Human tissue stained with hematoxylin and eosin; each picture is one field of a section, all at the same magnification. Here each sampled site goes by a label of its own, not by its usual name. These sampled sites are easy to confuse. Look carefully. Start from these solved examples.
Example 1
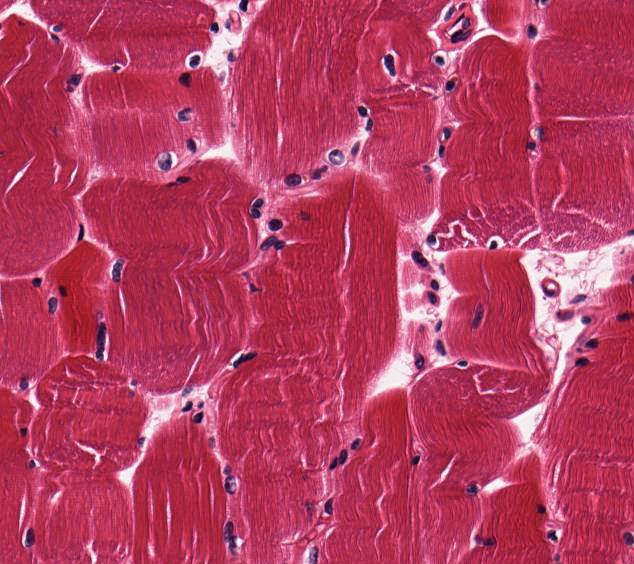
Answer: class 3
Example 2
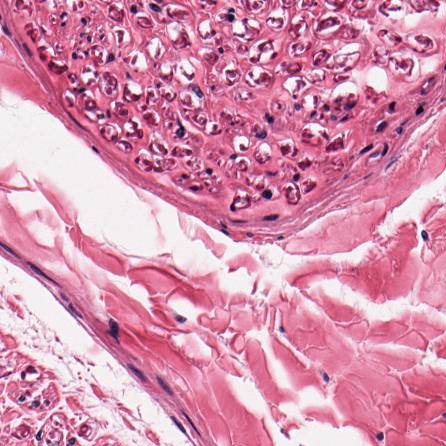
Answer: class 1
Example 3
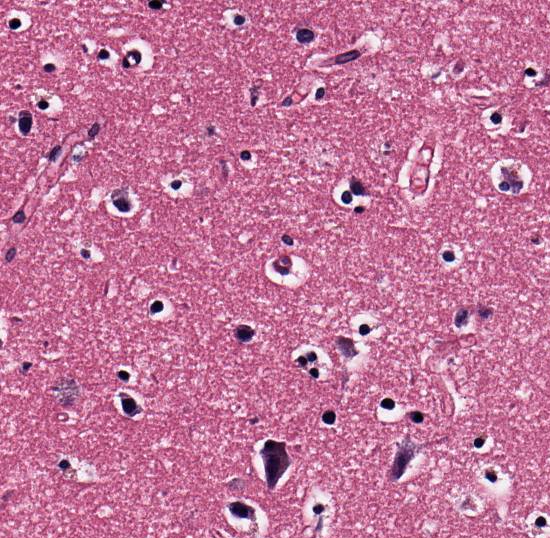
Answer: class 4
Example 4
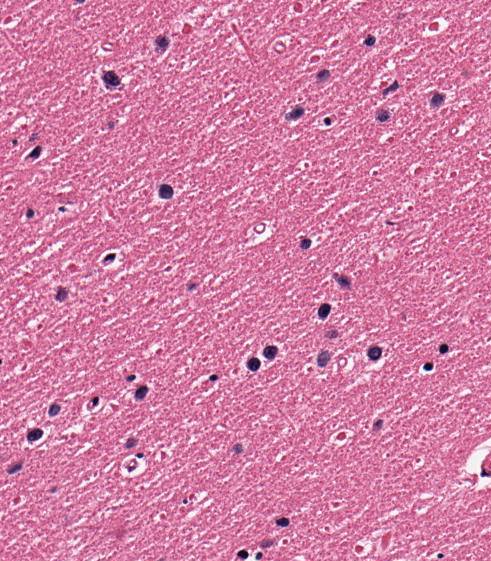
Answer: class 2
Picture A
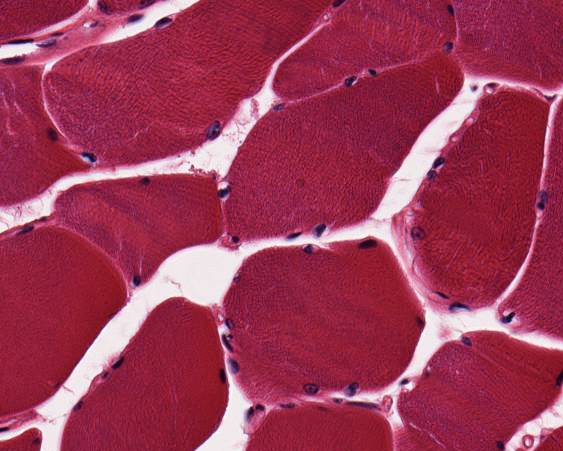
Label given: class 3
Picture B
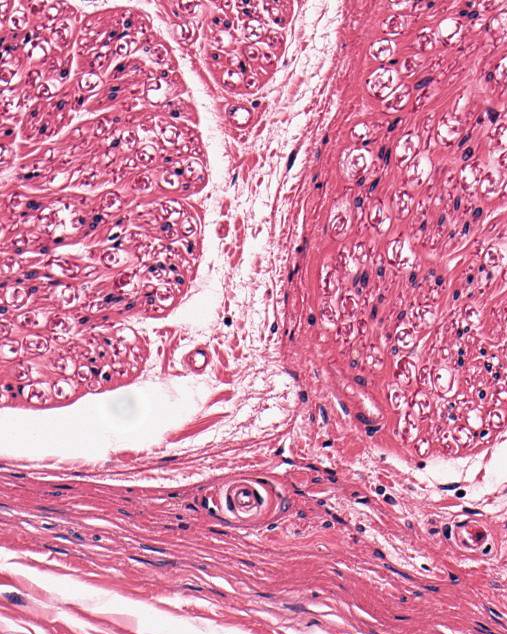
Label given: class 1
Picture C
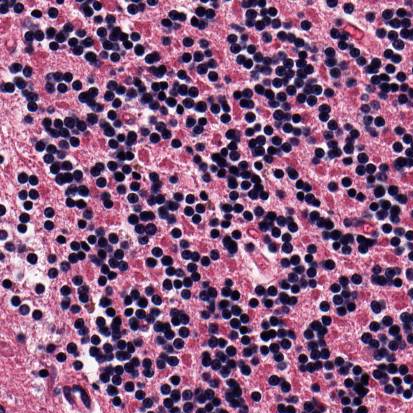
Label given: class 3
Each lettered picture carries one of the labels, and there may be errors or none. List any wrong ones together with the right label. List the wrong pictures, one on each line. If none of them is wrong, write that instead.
C should be class 2, not class 3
